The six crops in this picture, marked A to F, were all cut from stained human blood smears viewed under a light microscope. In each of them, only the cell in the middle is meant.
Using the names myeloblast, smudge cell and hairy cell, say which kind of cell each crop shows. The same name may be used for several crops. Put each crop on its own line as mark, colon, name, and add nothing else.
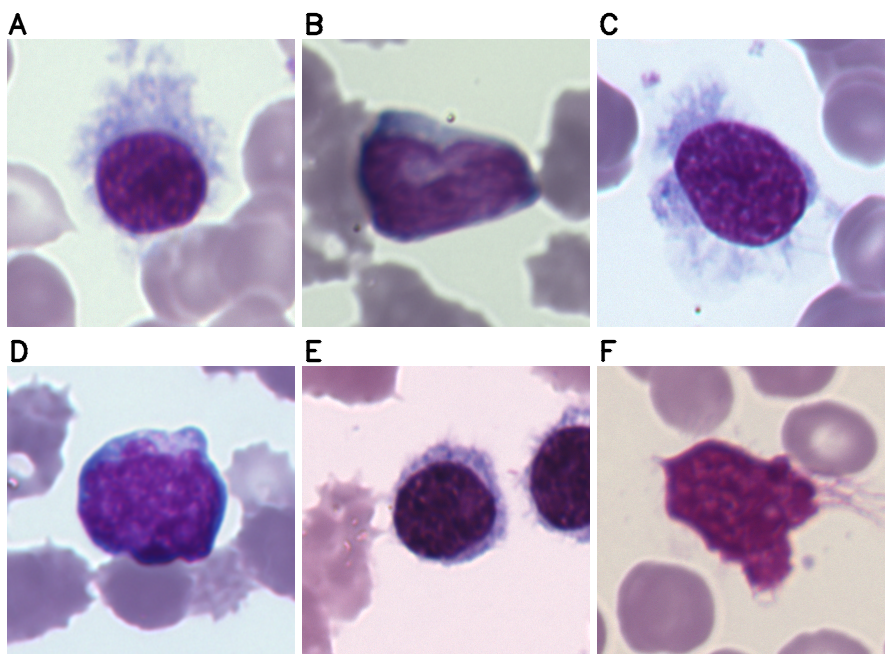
A: hairy cell
B: myeloblast
C: hairy cell
D: myeloblast
E: hairy cell
F: smudge cell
